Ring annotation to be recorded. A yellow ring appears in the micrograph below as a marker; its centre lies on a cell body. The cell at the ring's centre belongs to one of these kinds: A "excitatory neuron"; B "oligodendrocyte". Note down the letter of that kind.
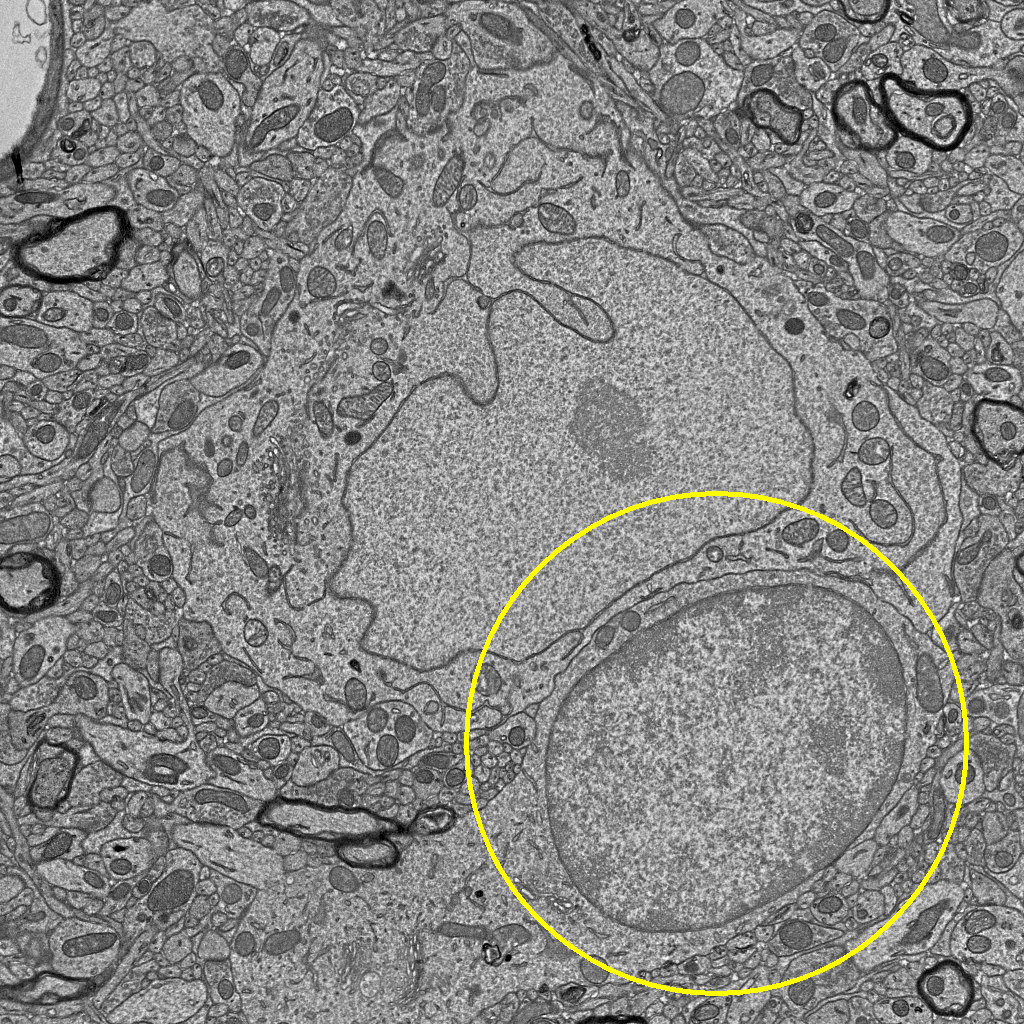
B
